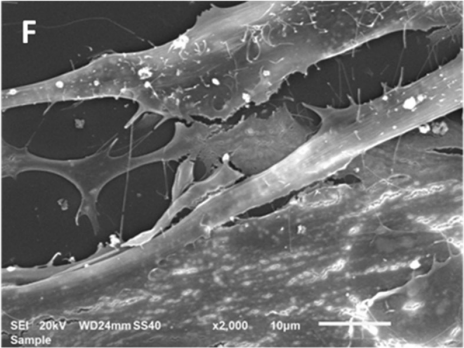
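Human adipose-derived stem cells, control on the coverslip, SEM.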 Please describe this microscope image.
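Flattened, spread cells lie on a smooth flat surface, their bodies drawn out into long bands with thin sheet-like extensions. Where neighbouring cells meet, slender cytoplasmic bridges and webs span the gaps between them, and fine thread-like projections radiate from their edges onto the surface. Small bright granules dot the cell surfaces.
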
